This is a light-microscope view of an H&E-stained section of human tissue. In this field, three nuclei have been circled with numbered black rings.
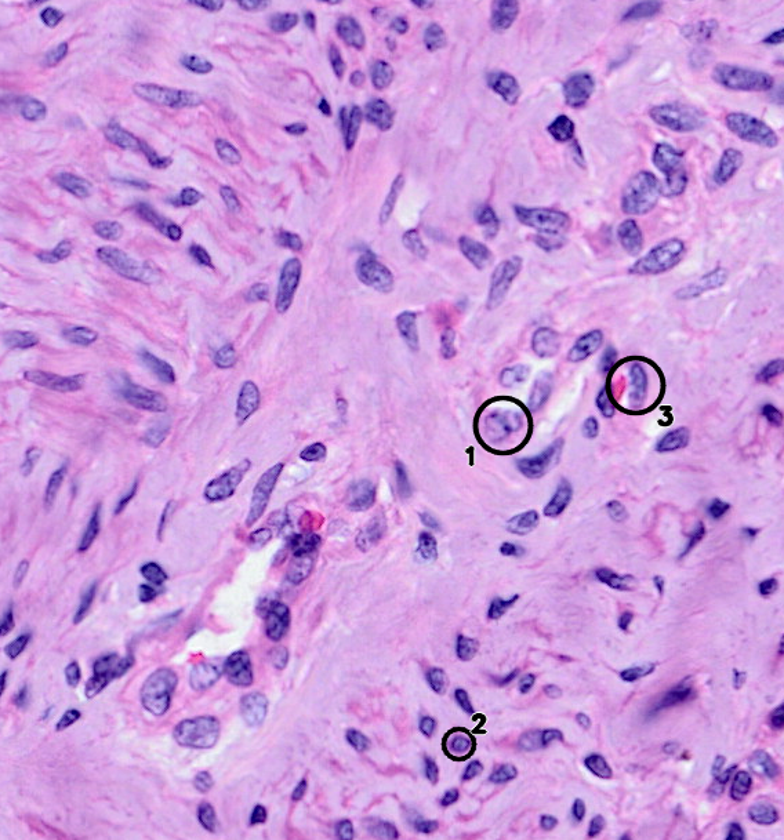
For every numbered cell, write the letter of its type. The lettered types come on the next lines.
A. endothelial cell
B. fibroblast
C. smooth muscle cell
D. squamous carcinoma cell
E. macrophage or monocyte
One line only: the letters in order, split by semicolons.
A; C; A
